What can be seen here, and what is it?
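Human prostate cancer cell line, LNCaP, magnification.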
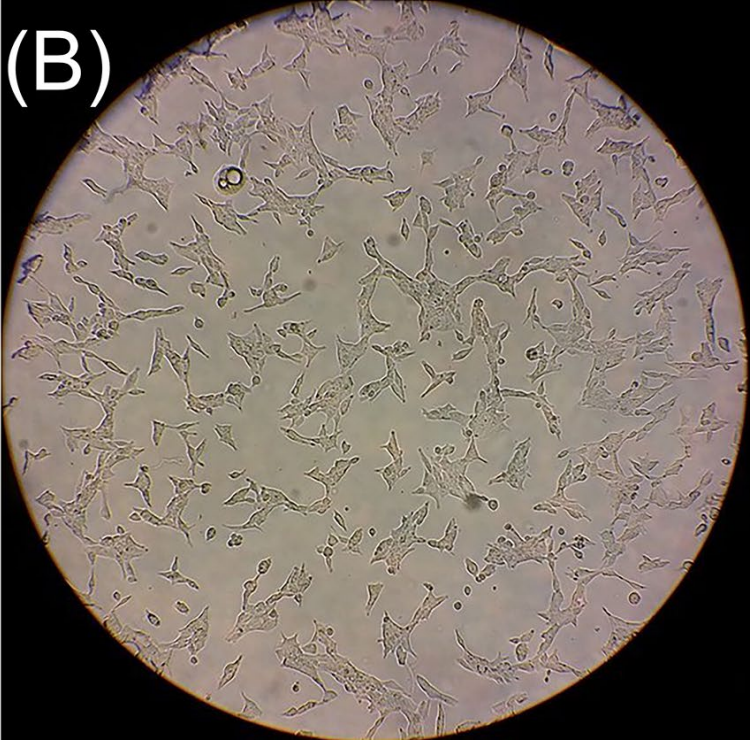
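Many lie in small loose clusters, with some touching each other at their tips, and open space lies between the groups. A few small rounded, refractile cells are scattered among them.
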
